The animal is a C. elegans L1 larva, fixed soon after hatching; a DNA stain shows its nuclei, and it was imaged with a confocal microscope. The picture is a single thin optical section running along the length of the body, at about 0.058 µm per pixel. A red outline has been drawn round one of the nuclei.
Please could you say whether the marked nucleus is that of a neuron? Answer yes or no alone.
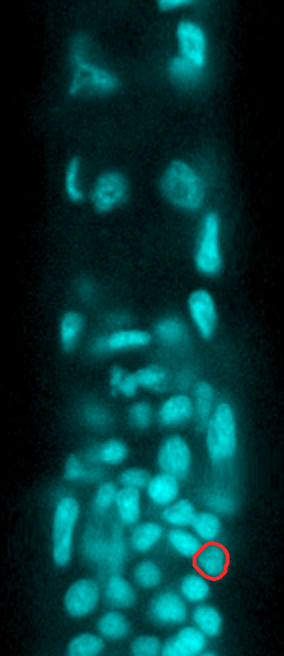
no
